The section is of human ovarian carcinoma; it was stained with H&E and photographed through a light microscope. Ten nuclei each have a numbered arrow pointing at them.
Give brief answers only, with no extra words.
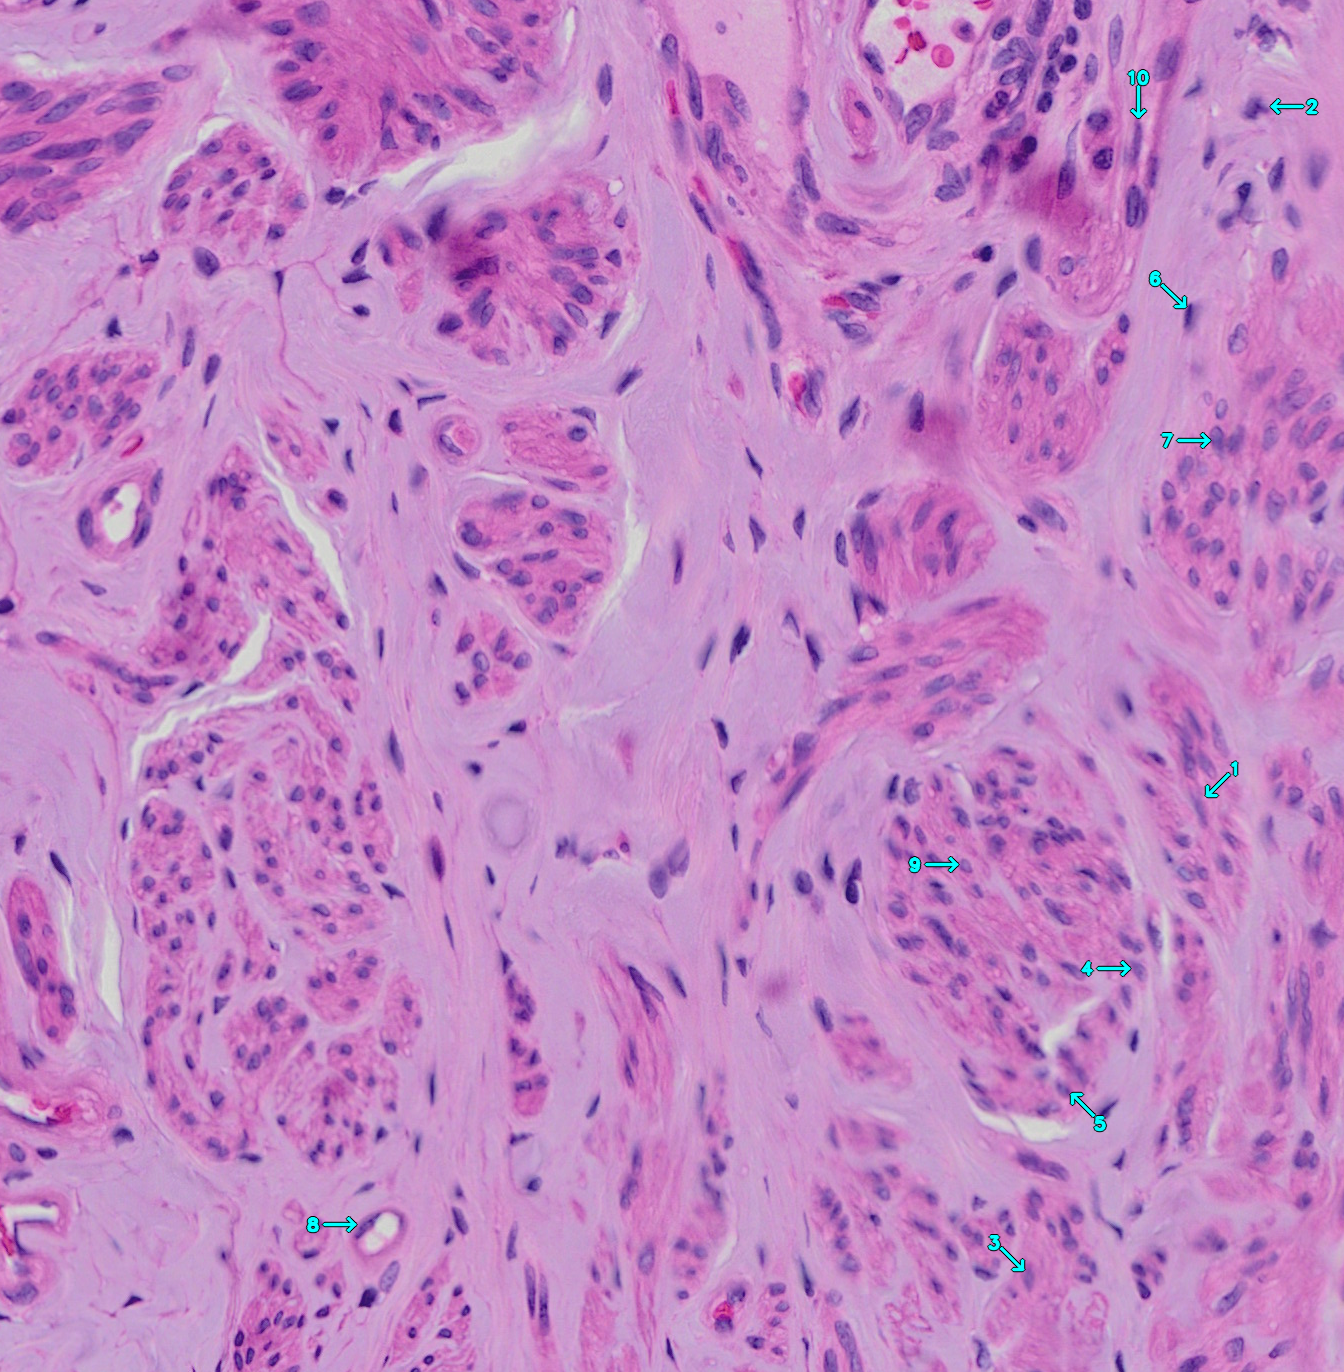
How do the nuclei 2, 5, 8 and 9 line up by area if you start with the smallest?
9, 5, 8, 2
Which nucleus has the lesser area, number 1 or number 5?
5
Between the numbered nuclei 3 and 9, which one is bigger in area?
3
